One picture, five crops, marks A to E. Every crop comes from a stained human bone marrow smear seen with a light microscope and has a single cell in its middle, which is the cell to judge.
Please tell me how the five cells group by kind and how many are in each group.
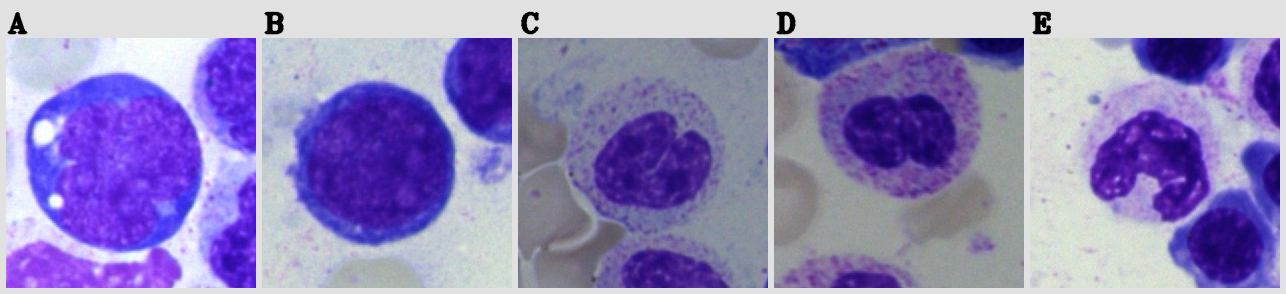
proerythroblast: 2
band neutrophil: 2
metamyelocyte: 1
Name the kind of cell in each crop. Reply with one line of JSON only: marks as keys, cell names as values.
{"A": "proerythroblast", "B": "proerythroblast", "C": "band neutrophil", "D": "metamyelocyte", "E": "band neutrophil"}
